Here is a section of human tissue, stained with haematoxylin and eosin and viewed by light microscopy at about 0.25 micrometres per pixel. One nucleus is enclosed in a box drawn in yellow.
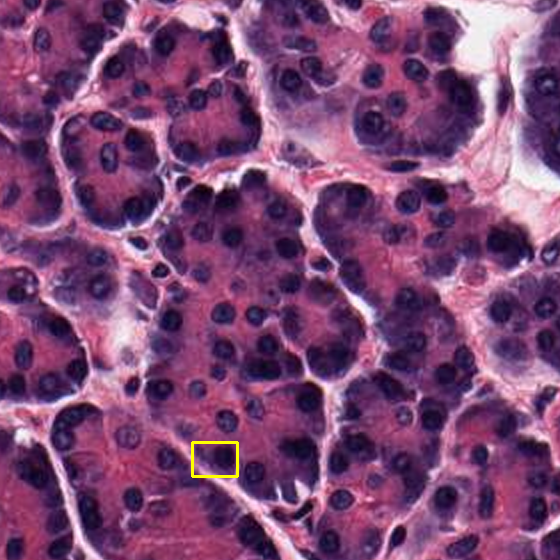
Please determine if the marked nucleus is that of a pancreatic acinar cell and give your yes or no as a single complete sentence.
Yes, a pancreatic acinar cell contains the marked nucleus.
